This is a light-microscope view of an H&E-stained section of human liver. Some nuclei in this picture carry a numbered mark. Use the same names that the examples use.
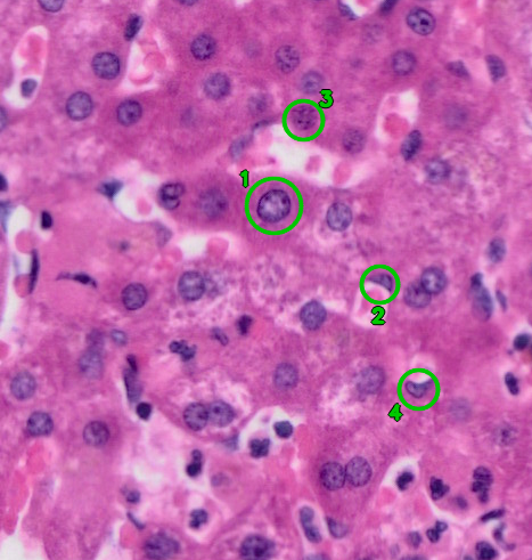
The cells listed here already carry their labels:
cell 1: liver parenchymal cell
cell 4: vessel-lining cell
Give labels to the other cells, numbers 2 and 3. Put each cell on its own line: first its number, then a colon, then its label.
2: vessel-lining cell
3: liver parenchymal cell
